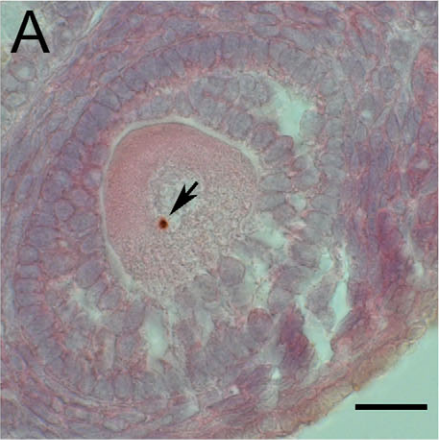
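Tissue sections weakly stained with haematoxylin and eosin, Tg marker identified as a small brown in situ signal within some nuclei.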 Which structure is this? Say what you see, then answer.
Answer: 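Pre-antral follicle. Surrounded by several concentric layers of small cells. No large single fluid-filled cavity is present.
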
